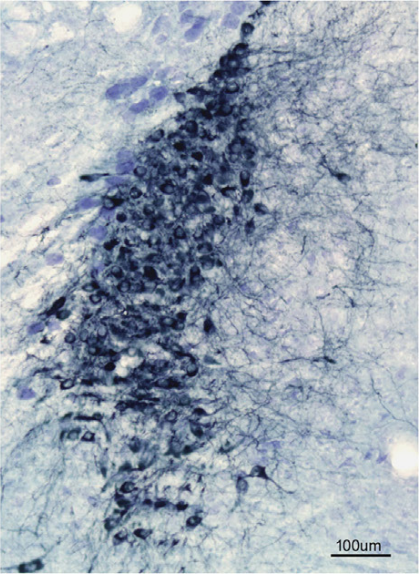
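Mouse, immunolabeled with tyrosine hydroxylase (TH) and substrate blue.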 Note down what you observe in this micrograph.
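Locus coeruleus neurons form a compact, elongated cluster of densely packed, darkly labelled dark blue cell bodies. The somata are round to polygonal, and many give off labelled processes that form a dense meshwork around and beyond the cluster. Scattered labelled neurons with long processes lie at the periphery. Pale blue nuclei of unlabelled cells line one edge of the cluster.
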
